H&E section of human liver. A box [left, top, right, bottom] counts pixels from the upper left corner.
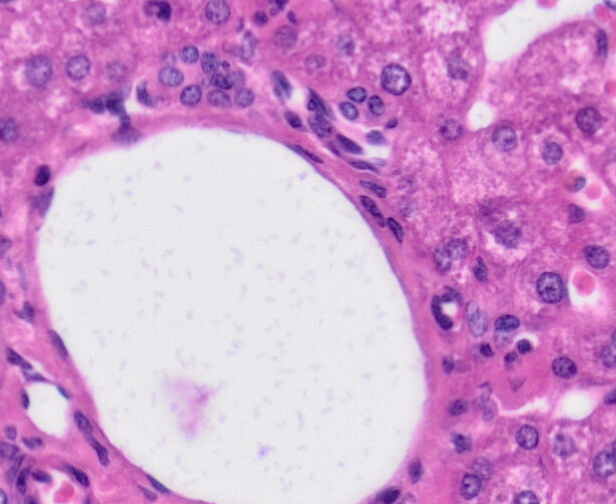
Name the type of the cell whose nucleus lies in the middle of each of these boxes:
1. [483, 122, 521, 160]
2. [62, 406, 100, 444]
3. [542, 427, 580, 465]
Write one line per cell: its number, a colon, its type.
1: hepatocyte
2: fibroblast or stellate cell
3: hepatocyte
